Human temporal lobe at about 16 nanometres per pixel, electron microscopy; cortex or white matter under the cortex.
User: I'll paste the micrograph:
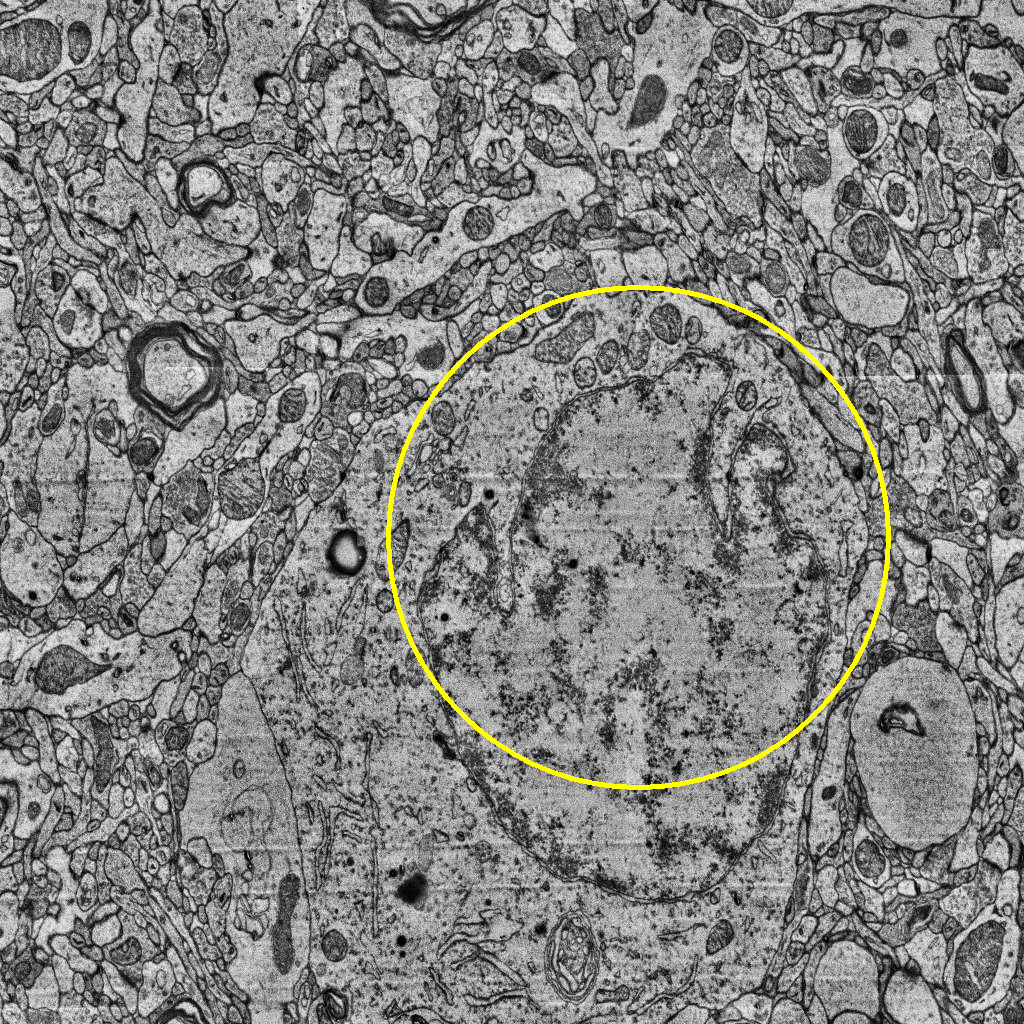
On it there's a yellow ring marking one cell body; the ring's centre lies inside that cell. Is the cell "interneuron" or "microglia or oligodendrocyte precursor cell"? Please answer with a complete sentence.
The cell at the centre of the yellow ring is an interneuron.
